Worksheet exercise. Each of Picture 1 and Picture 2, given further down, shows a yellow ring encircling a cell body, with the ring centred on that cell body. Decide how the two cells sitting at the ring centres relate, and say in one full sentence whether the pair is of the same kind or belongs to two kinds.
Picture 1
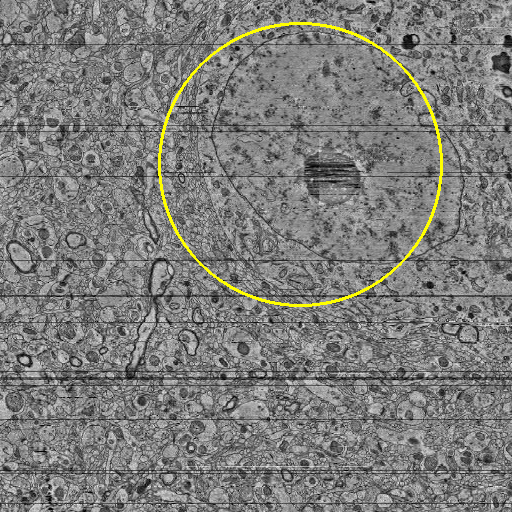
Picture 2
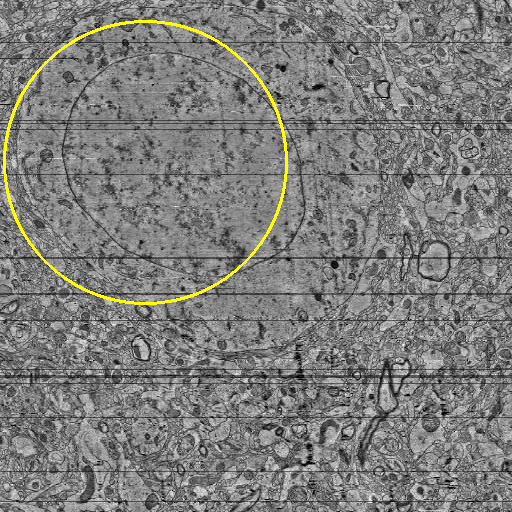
The cells at the ring centres in Picture 1 and Picture 2 are of the same kind.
